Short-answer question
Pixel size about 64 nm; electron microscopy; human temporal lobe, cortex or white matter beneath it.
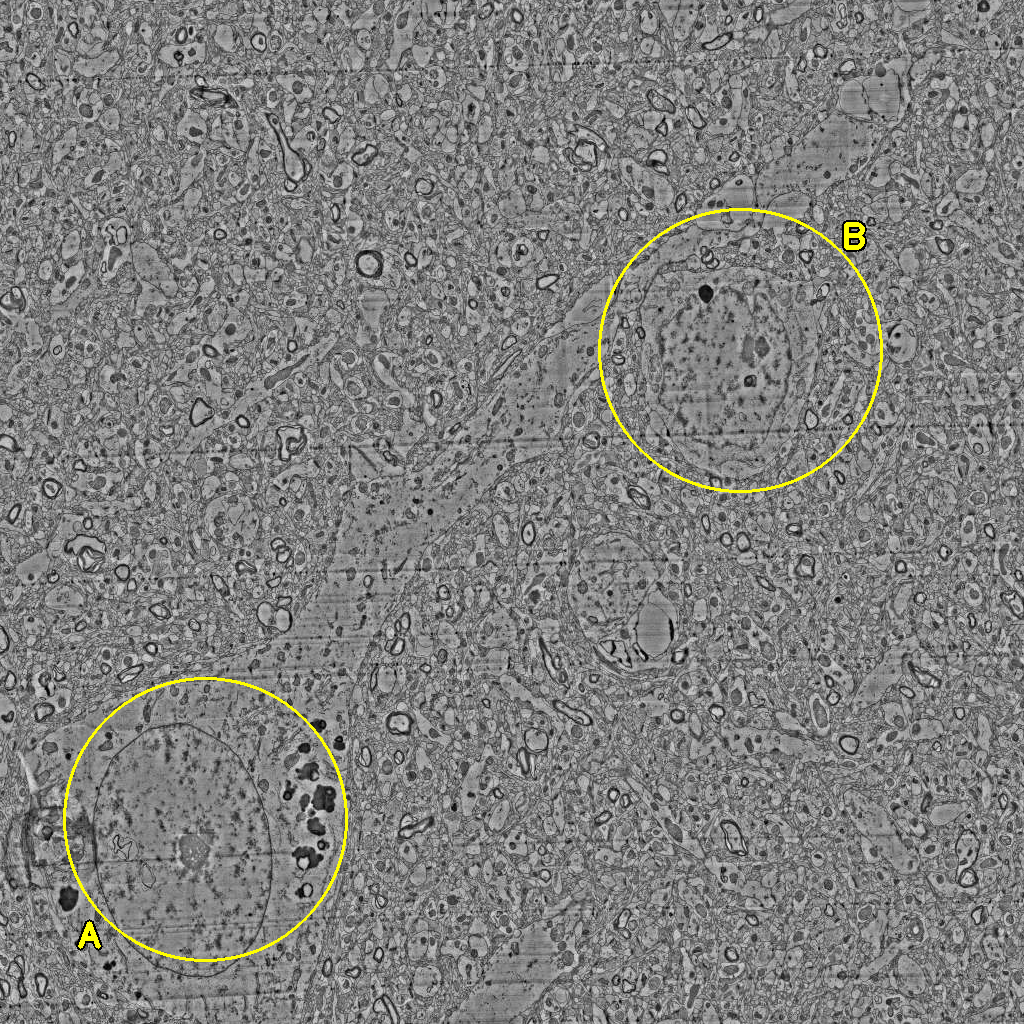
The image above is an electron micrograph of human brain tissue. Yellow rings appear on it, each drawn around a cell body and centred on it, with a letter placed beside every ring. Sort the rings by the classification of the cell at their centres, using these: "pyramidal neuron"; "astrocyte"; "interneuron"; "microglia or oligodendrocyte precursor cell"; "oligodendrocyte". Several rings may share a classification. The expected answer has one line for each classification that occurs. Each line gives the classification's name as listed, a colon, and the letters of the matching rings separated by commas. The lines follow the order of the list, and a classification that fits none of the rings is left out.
pyramidal neuron: A
interneuron: B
